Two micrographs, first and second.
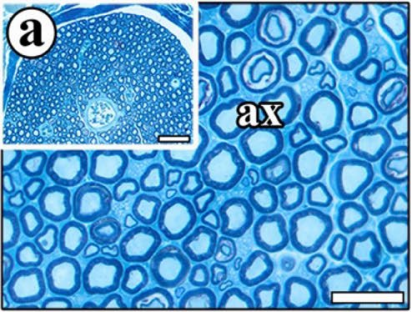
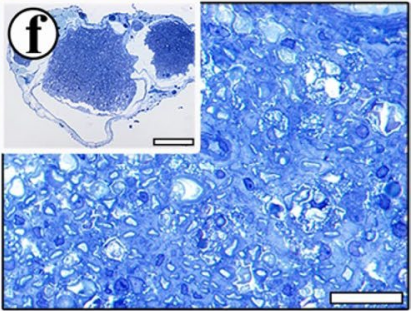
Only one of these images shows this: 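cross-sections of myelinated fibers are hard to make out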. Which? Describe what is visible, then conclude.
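The second image. Second image: dense irregular blue tissue with few distinct ring profiles. First image: many clear round fibers with dark rings packed side by side.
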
